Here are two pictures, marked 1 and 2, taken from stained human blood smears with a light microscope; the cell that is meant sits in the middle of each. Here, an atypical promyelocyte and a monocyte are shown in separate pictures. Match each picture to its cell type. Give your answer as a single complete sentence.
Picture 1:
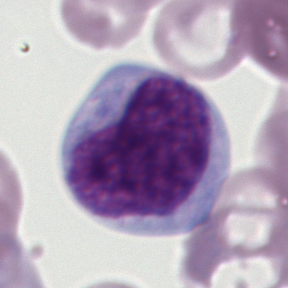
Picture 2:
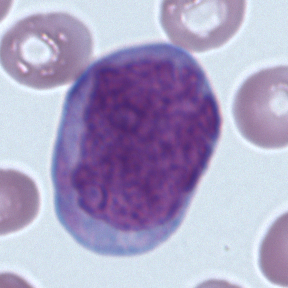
It is picture 1 that shows a monocyte, and picture 2 that shows an atypical promyelocyte.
